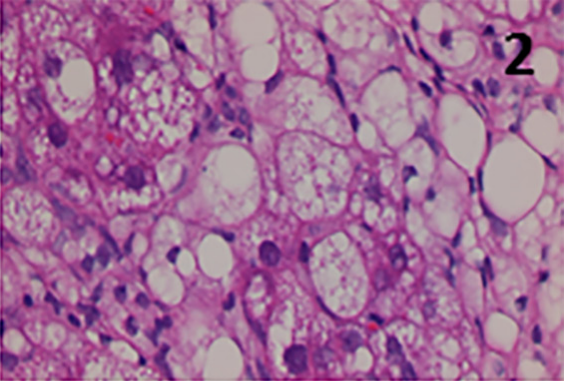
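This is liver in which the hepatocytes are ballooned: they are swollen, rounded and much larger than usual, with pale pink cytoplasm broken up by many small clear vacuoles. Some cells carry one or more large round empty droplets, and dark purple nuclei are pushed aside or sit among the vacuoles. Between the swollen cells run thin pink strands with slender elongated nuclei.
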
